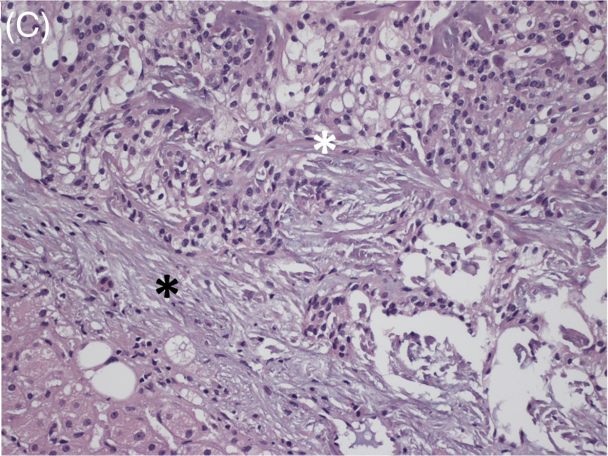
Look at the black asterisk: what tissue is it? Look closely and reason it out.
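The band holds few, elongated nuclei. The band runs diagonally between nests of cells. The answer: hyalinized stroma.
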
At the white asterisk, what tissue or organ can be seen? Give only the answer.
clear cell part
